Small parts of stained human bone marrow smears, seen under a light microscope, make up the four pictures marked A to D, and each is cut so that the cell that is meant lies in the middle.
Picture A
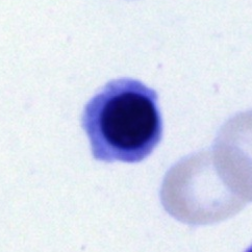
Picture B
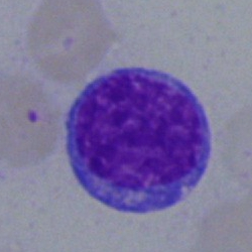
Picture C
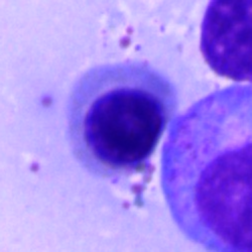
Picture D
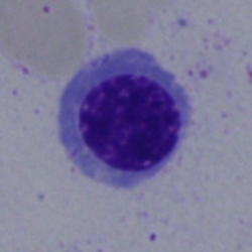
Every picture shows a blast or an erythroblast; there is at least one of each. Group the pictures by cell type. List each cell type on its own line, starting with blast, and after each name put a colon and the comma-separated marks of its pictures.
blast: B
erythroblast: A, C, D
